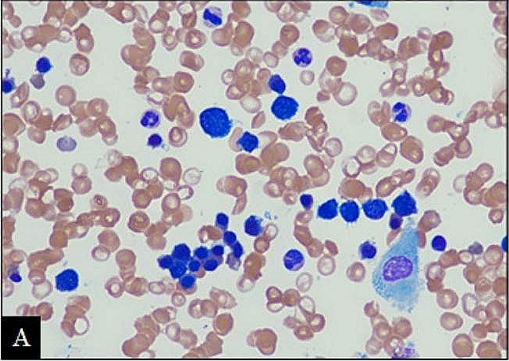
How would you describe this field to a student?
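This bone marrow aspirate smear shows numerous erythroid precursors scattered among abundant red blood cells. The nucleated cells have round, centrally placed nuclei with dense dark chromatin, and many have a rim of deep blue cytoplasm. They range from larger cells to small cells with compact, dark nuclei, consistent with a range of maturation. A single larger cell with pale blue-grey cytoplasm and an oval nucleus lies near the lower right.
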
